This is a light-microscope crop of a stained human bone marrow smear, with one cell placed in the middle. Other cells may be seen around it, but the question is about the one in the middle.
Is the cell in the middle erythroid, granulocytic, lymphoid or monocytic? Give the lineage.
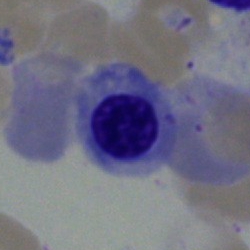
erythroid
